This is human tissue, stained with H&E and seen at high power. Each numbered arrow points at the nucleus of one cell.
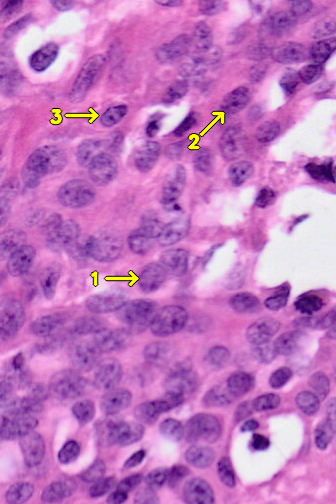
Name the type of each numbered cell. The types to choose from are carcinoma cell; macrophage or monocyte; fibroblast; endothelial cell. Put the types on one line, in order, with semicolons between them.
carcinoma cell; carcinoma cell; macrophage or monocyte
